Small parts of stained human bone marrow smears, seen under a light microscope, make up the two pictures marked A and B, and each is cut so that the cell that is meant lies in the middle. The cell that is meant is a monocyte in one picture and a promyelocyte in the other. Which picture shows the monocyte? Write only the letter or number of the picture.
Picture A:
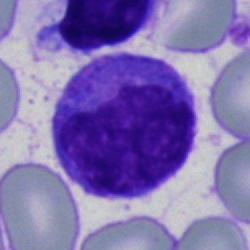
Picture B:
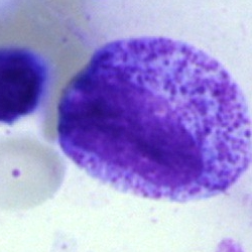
A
